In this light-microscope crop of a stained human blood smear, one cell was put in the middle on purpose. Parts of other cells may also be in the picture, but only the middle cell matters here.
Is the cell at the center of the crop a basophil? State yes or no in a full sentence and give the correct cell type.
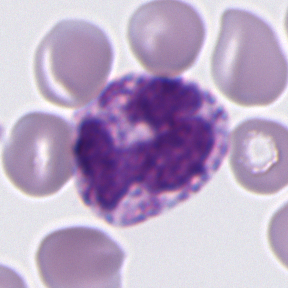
Yes, the cell positioned at the centre of the crop is a basophil.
